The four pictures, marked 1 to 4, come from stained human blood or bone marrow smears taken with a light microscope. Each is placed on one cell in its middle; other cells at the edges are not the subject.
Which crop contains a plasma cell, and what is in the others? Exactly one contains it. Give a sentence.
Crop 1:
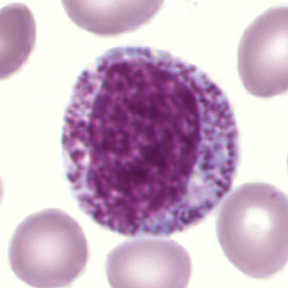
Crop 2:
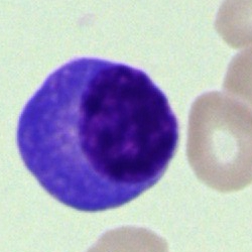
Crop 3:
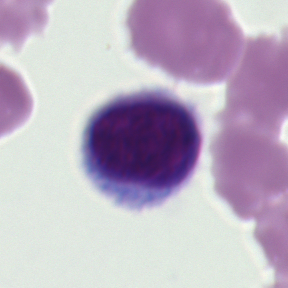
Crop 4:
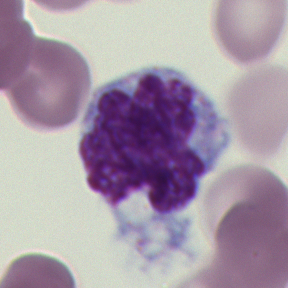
In crop 2 one sees a plasma cell, while crop 1 is a myelocyte, crop 3 is a hairy cell and crop 4 is a monocyte.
